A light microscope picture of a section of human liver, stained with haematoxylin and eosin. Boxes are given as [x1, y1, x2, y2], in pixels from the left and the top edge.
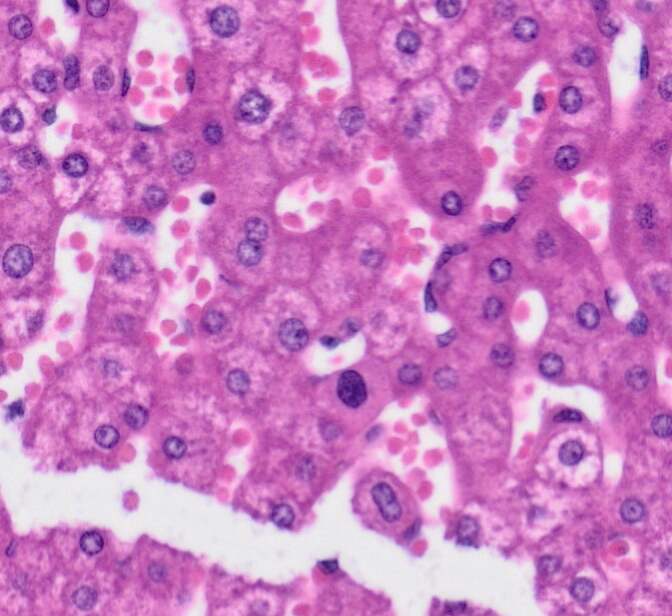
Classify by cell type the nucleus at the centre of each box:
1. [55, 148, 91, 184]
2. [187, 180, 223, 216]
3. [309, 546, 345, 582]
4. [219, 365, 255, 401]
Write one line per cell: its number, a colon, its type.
1: hepatocyte
2: lymphocyte
3: endothelial cell
4: hepatocyte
